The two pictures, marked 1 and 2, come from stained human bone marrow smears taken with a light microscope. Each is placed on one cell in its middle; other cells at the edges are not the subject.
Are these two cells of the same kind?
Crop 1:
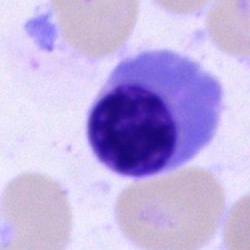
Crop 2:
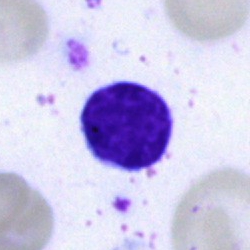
no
